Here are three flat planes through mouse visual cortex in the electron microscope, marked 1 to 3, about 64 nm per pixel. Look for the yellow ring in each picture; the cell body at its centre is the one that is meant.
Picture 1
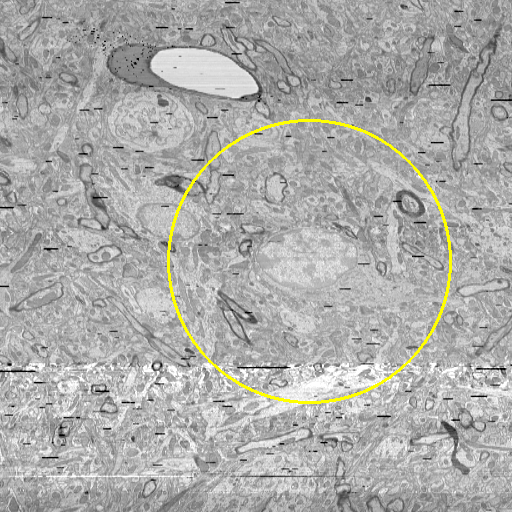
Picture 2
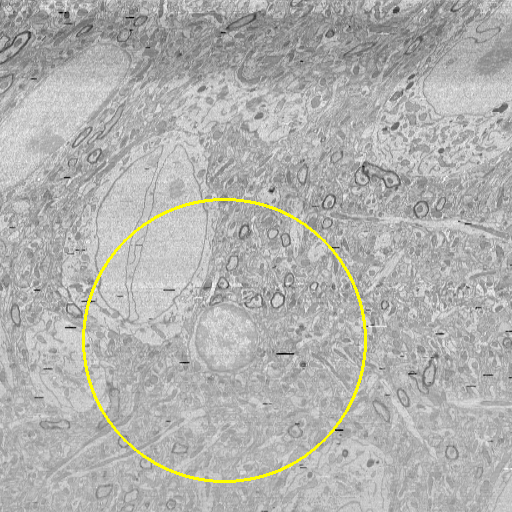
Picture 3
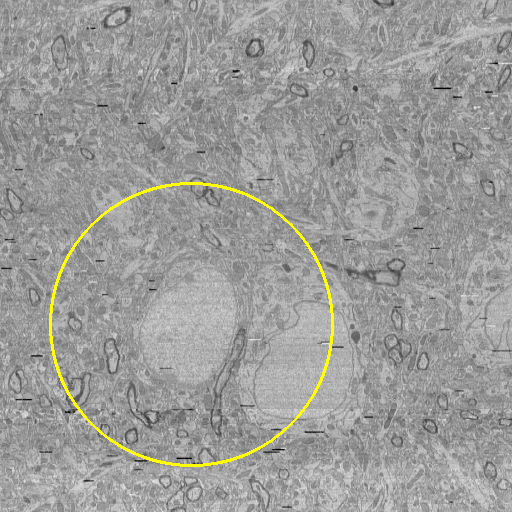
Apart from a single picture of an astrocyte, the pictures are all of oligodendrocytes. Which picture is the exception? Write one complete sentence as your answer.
Picture 3 shows the astrocyte.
